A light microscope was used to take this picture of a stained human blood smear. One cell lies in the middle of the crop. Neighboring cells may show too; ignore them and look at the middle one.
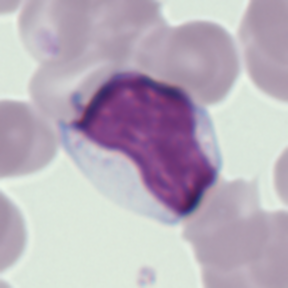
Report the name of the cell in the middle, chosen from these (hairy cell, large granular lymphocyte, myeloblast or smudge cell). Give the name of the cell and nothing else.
large granular lymphocyte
